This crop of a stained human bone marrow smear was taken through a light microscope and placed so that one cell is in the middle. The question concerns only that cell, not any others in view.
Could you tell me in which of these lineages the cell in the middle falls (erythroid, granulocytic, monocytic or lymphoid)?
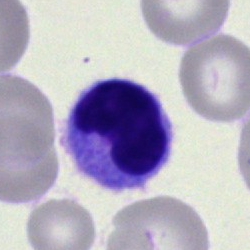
lymphoid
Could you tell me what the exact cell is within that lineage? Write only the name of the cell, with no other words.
lymphocyte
